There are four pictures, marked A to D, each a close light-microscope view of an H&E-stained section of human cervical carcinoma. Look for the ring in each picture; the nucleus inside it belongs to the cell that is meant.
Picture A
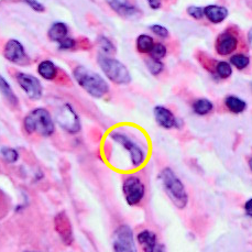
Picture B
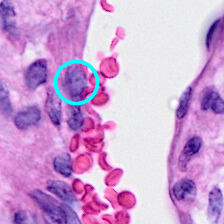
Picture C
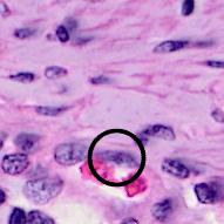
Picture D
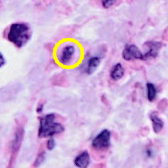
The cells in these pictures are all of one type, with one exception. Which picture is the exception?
D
